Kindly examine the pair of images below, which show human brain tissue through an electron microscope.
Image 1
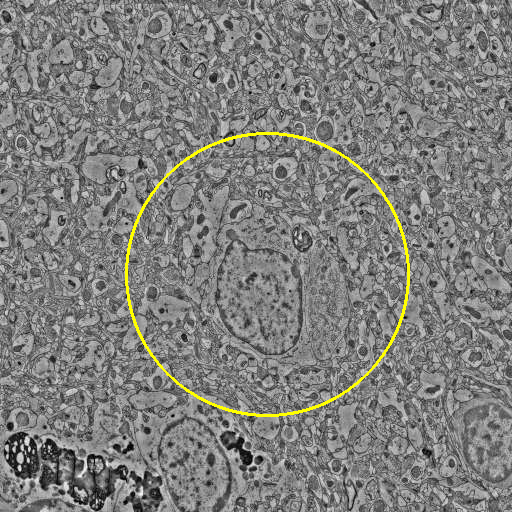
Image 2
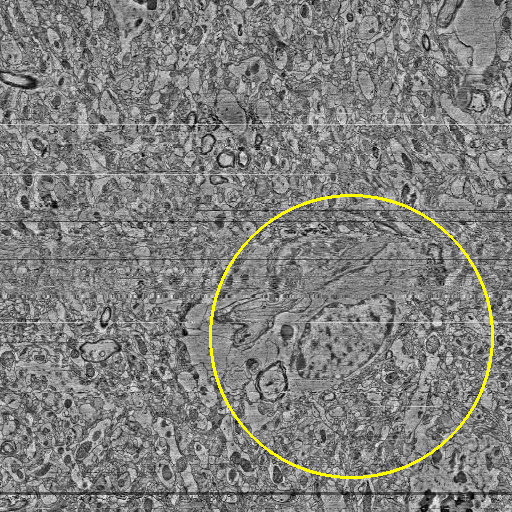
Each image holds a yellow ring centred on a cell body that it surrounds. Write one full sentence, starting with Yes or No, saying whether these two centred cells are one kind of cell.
Yes, both cells at the centres of the yellow rings belong to one kind of cell.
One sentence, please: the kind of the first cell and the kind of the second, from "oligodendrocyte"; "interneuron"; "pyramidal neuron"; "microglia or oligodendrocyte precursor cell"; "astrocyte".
Each cell, in the first picture and the second, is a microglial cell or oligodendrocyte precursor cell.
